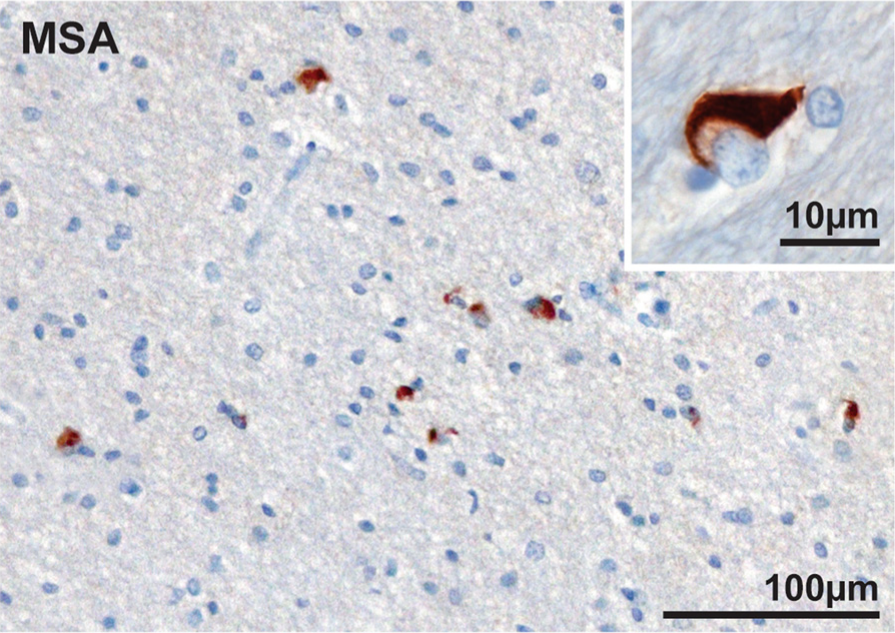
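This is brain white matter in which small glial cells are scattered as round to oval blue nuclei in a pale, faintly fibrous background. Among them lie a number of small, dense brown bodies, each about the size of a nucleus, which are glial cytoplasmic inclusions. In the enlarged view, one such brown mass forms a crescent or flame shape hugging one side of a small round nucleus, filling the cytoplasm of the cell, with another round nucleus lying close by.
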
